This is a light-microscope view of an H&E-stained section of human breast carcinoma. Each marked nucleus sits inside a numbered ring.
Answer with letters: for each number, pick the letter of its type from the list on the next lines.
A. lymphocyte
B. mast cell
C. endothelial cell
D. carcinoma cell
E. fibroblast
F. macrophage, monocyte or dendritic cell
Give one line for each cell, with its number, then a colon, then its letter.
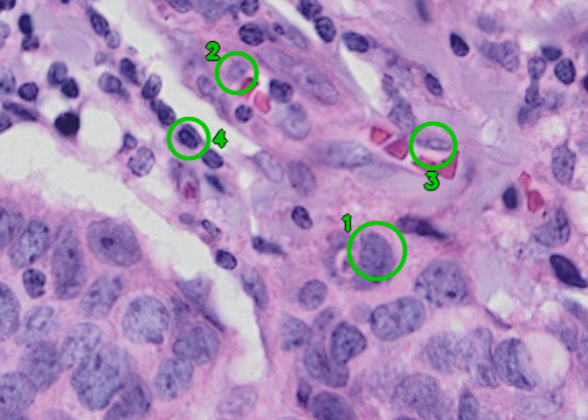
1: D
2: C
3: C
4: A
